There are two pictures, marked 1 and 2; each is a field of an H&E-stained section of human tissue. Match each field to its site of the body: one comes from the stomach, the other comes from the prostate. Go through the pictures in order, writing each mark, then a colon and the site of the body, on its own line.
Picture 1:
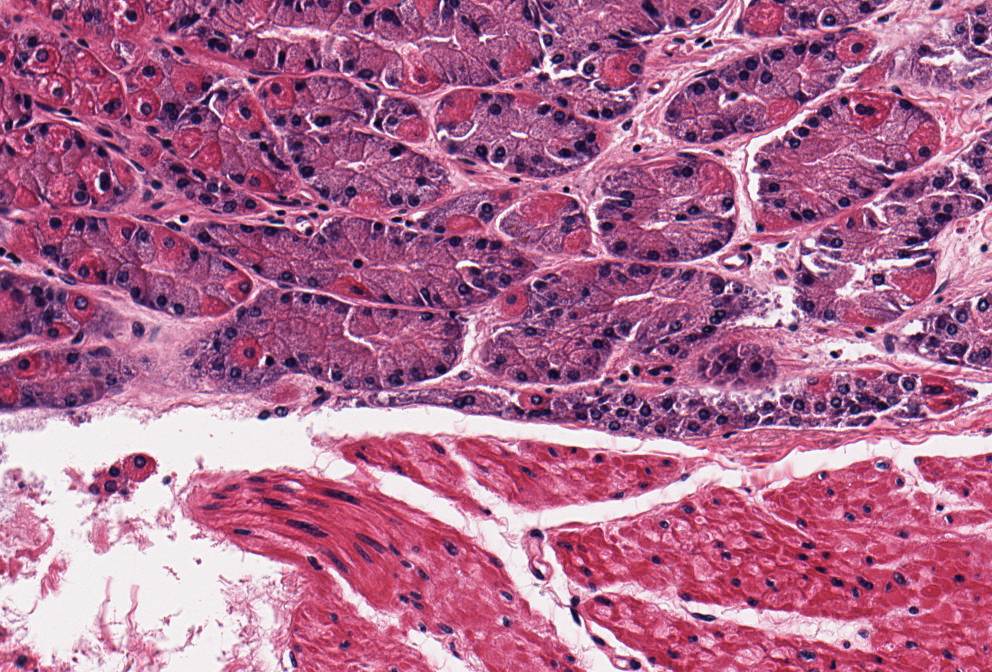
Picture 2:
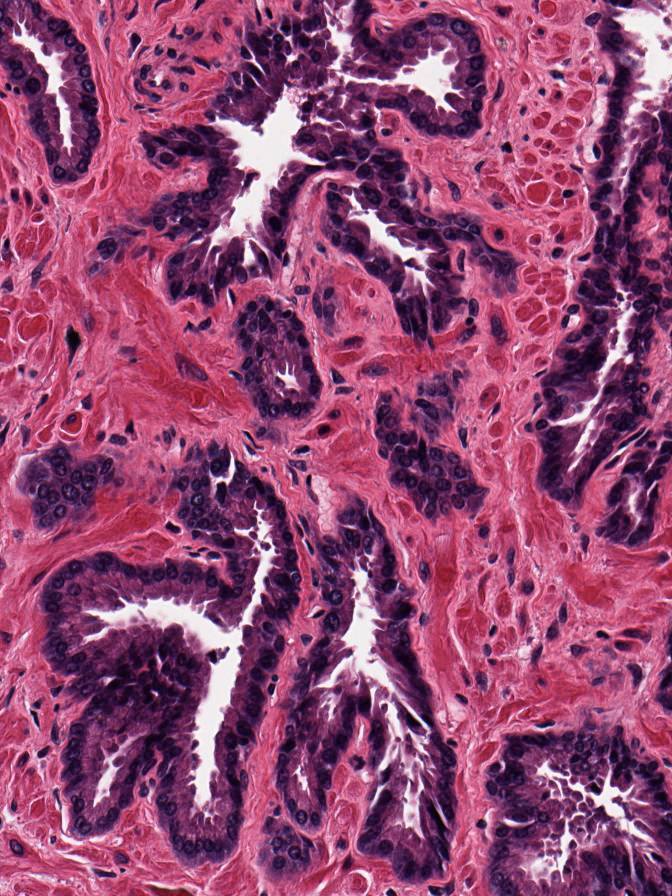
1: stomach
2: prostate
